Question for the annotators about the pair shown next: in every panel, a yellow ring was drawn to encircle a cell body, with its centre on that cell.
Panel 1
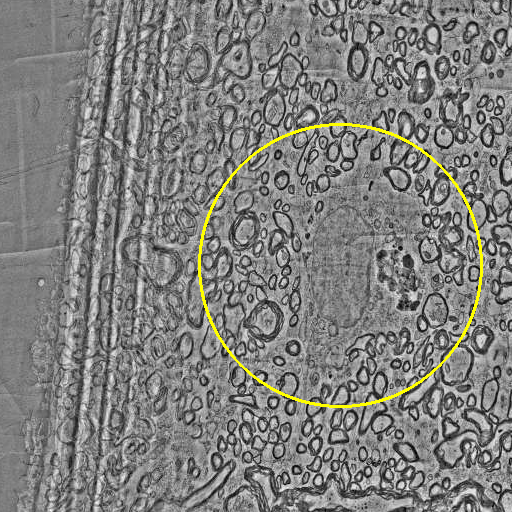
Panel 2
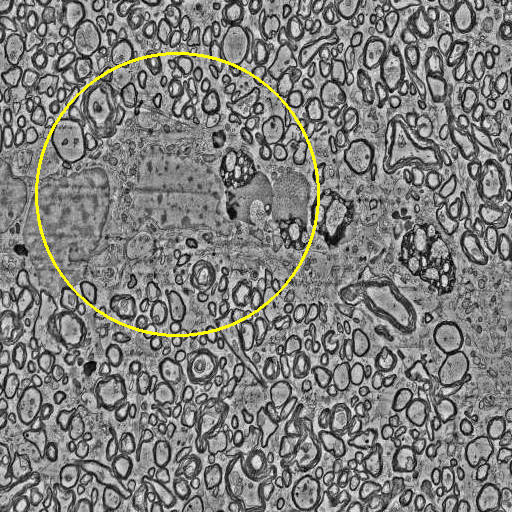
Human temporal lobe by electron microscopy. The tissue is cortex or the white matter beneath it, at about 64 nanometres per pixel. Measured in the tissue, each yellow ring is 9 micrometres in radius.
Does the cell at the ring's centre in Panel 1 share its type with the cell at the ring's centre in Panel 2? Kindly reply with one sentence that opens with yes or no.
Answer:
Yes, in Panels 1 and 2 the cells at the ring centres belong to a single type.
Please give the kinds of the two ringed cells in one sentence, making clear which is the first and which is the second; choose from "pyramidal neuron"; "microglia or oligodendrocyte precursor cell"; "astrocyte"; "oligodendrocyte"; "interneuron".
The ring centre holds an astrocyte in each of the two pictures.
